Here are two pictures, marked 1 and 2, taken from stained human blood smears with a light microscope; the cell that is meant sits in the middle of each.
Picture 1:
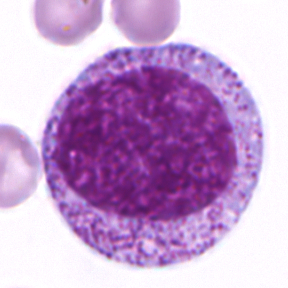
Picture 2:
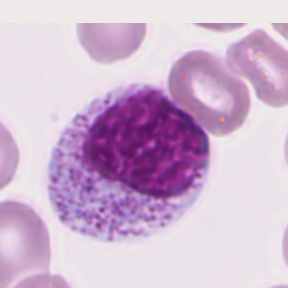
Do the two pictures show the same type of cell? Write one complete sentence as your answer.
Yes, they are the same type: both are myelocytes.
